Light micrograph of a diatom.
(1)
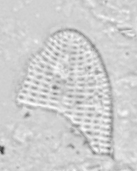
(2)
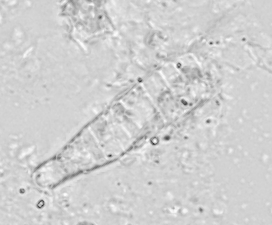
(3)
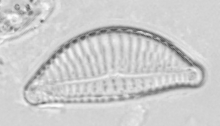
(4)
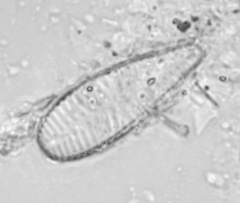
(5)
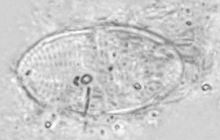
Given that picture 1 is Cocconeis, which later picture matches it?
5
